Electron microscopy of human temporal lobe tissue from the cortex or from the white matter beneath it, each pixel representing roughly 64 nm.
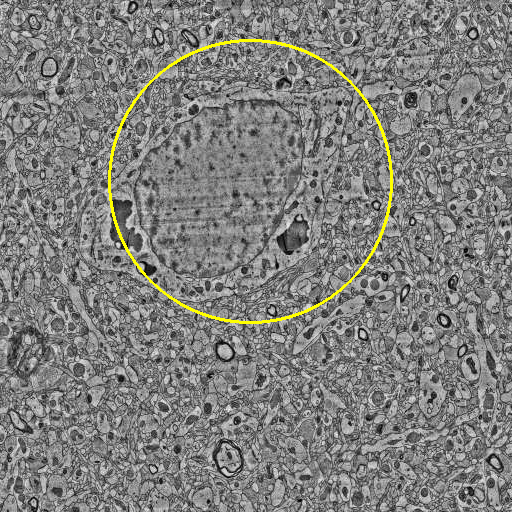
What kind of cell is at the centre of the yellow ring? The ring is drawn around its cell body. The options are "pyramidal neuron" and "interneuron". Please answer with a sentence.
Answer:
The yellow ring marks the cell body of an interneuron.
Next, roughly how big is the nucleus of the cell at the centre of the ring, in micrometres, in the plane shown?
In this plane, the nucleus is roughly 13 by 10 micrometres.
